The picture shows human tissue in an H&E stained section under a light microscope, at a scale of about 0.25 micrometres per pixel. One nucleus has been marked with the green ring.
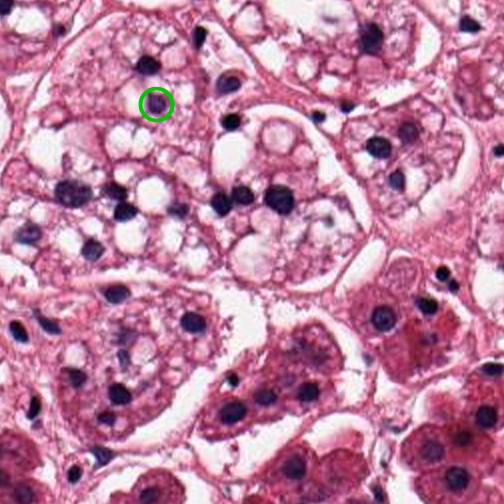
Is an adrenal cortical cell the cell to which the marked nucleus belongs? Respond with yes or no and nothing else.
yes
